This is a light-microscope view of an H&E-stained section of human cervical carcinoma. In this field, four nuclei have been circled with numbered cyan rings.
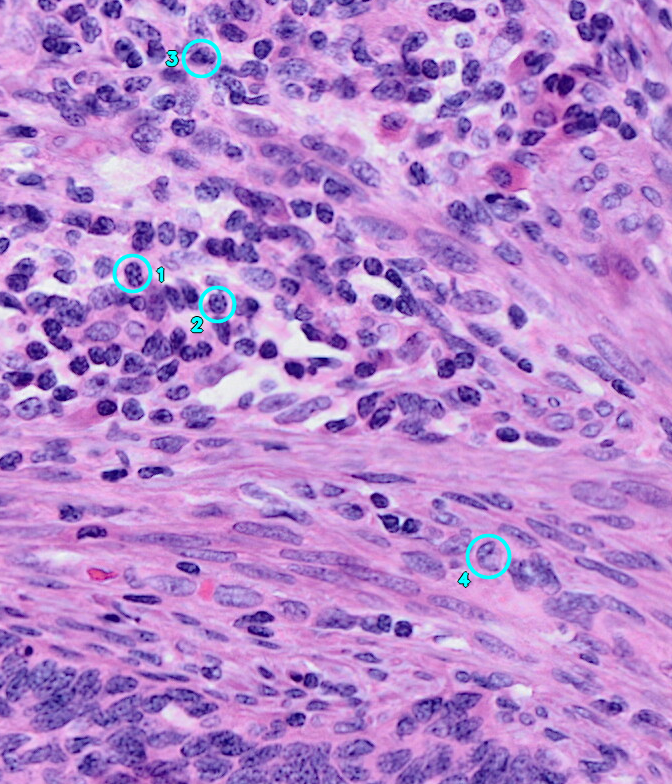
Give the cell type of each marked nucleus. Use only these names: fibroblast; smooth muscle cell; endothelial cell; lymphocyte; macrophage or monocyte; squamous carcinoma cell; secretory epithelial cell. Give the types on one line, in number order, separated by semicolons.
lymphocyte; lymphocyte; lymphocyte; smooth muscle cell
